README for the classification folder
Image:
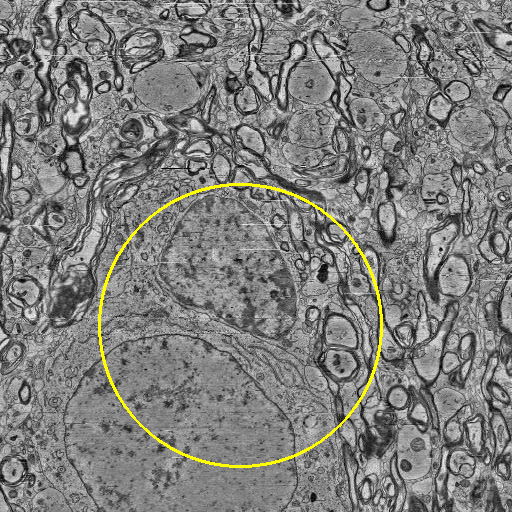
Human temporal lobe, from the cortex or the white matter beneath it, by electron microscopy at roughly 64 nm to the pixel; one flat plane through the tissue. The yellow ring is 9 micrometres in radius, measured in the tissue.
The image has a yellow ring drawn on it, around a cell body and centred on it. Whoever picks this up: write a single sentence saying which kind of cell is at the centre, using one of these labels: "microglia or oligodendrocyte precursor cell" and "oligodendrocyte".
This cell body is that of a microglial cell or oligodendrocyte precursor cell.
